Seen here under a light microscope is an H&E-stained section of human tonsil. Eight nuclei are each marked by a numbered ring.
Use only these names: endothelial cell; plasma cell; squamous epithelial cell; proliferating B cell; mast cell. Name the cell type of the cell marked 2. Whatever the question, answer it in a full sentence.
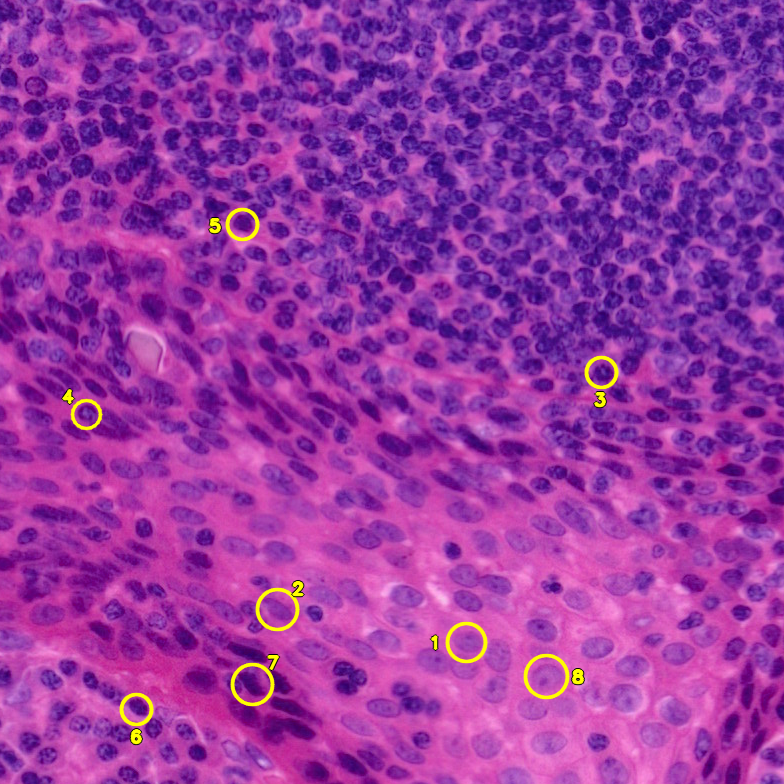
The cell that is numbered 2 is a squamous epithelial cell.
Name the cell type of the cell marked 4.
Denoted by the label 4 in the section is a plasma cell.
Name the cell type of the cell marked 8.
Corresponding to a squamous epithelial cell is the cell labelled 8.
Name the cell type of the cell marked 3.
Number 3 is placed on a plasma cell here.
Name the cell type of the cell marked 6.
Corresponding to a plasma cell is the cell labelled 6.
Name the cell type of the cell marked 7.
Cell 7 in the field of view is a squamous epithelial cell.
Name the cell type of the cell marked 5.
Looking at the numbered marks, cell 5 is a plasma cell.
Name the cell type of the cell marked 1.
The cell given label 1 is a squamous epithelial cell.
